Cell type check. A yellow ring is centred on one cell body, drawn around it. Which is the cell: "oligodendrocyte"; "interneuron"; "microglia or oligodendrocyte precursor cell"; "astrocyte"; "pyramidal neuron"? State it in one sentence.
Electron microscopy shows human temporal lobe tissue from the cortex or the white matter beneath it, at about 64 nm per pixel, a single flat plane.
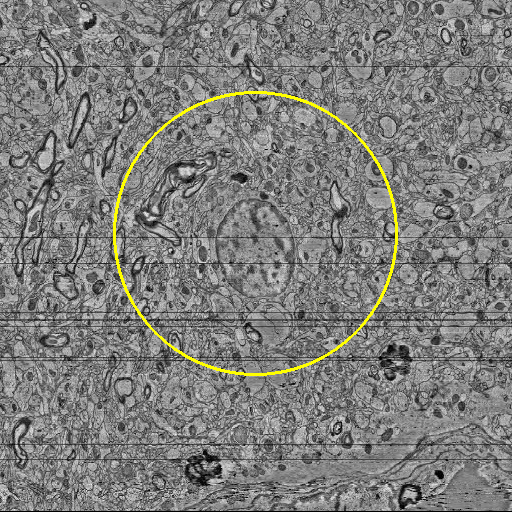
The cell body at the ring's centre belongs to an oligodendrocyte.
